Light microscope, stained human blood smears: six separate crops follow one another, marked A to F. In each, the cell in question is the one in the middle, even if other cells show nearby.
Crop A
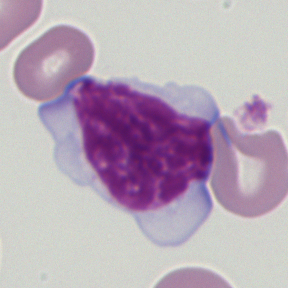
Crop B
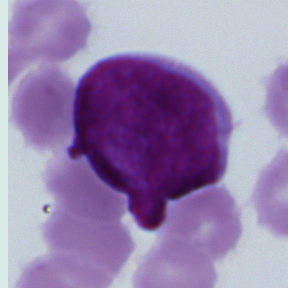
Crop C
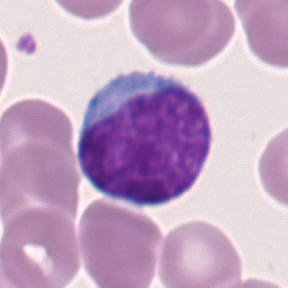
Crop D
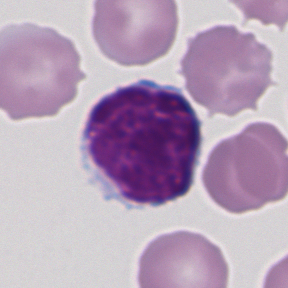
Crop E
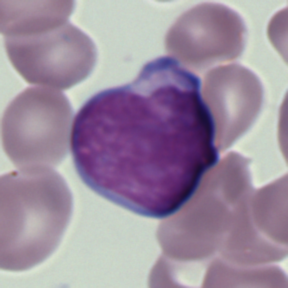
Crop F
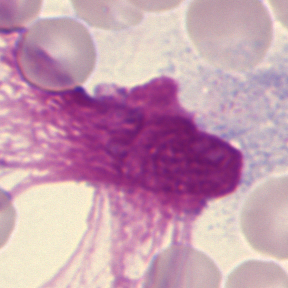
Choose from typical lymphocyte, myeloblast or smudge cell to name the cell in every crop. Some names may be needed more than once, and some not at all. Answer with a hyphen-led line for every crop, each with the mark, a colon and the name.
- A: typical lymphocyte
- B: myeloblast
- C: typical lymphocyte
- D: typical lymphocyte
- E: myeloblast
- F: smudge cell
